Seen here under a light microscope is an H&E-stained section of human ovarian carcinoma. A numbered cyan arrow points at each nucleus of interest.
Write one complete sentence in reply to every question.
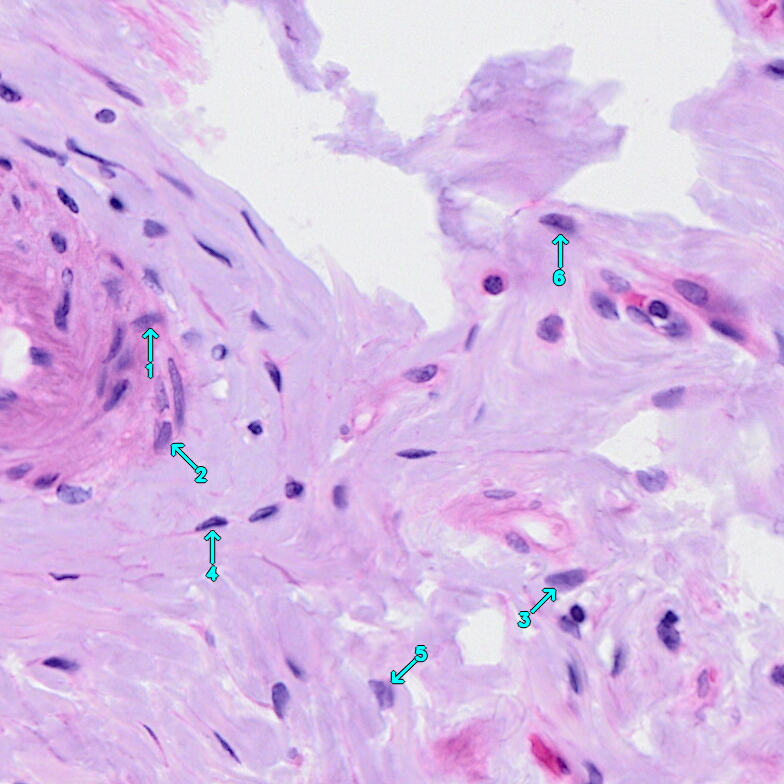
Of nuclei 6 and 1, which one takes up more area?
The larger nucleus is 6, at roughly 1.5 times the area of 1.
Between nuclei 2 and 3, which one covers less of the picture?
The smaller nucleus is 2, and 3 covers roughly 1.5 times its area.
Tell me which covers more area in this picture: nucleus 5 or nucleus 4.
Nucleus 5 is the larger one, covering about 2 times the area of nucleus 4.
